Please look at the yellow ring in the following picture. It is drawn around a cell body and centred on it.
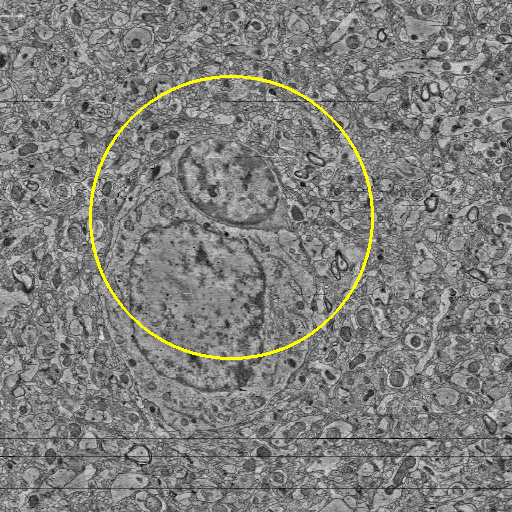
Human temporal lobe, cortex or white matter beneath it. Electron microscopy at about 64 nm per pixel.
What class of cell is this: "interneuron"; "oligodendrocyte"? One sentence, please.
The ring surrounds the cell body of an oligodendrocyte.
